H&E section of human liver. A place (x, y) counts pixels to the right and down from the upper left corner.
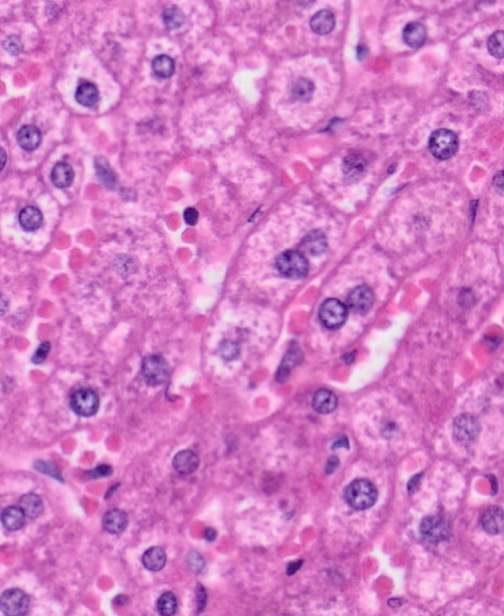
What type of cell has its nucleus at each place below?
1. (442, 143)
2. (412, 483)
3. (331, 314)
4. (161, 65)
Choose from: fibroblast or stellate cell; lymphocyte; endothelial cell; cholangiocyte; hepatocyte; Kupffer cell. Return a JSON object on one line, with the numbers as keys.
{"1": "hepatocyte", "2": "endothelial cell", "3": "hepatocyte", "4": "hepatocyte"}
